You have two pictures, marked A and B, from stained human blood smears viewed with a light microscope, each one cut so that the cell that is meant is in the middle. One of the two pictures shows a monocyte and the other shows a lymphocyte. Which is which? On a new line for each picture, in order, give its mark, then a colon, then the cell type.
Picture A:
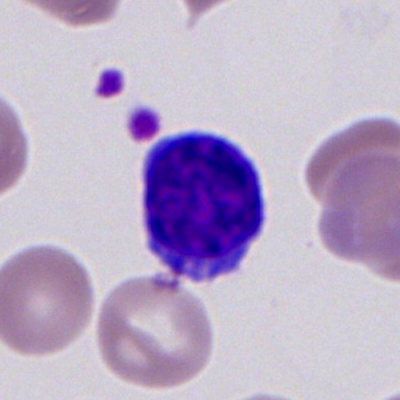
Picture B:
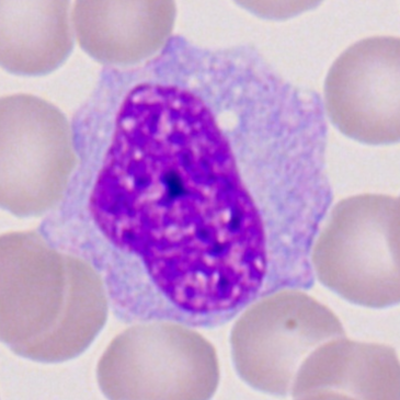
A: lymphocyte
B: monocyte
